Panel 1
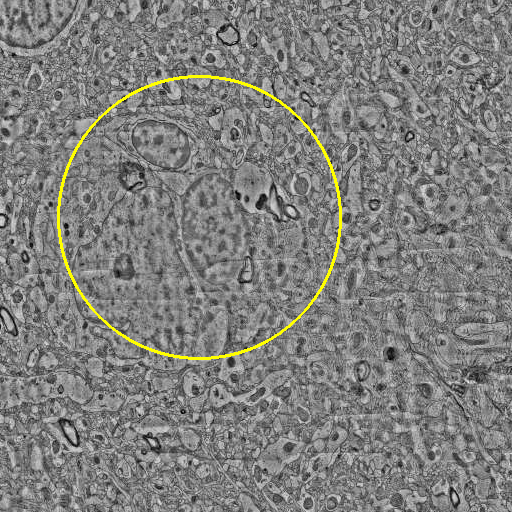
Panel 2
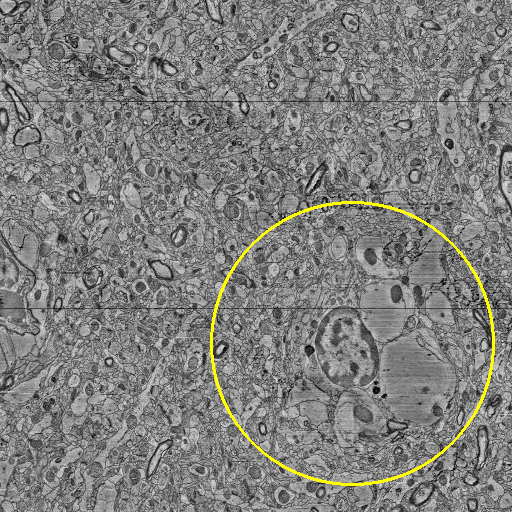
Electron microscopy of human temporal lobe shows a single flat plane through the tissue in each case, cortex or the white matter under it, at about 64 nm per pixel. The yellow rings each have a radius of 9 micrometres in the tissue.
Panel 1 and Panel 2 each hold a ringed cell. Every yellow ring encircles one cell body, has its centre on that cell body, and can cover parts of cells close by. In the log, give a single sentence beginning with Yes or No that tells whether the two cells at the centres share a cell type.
No, in Panel 1 and Panel 2 the centred cells are of two cell types.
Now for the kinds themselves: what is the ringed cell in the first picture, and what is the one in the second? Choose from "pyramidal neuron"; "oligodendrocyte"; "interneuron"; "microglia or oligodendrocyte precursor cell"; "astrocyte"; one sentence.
Here the first cell is an oligodendrocyte and the second cell is a microglial cell or oligodendrocyte precursor cell.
